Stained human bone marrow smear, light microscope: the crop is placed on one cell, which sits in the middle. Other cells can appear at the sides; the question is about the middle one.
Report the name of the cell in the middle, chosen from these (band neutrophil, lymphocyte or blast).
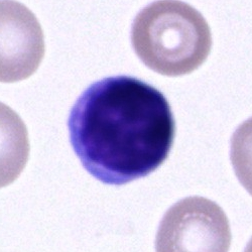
lymphocyte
